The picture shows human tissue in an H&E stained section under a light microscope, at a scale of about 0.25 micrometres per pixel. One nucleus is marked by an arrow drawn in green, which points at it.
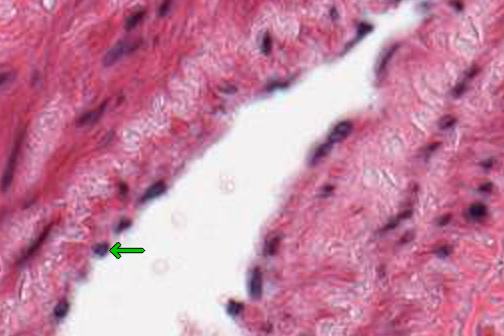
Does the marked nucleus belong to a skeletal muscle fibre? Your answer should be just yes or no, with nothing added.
no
